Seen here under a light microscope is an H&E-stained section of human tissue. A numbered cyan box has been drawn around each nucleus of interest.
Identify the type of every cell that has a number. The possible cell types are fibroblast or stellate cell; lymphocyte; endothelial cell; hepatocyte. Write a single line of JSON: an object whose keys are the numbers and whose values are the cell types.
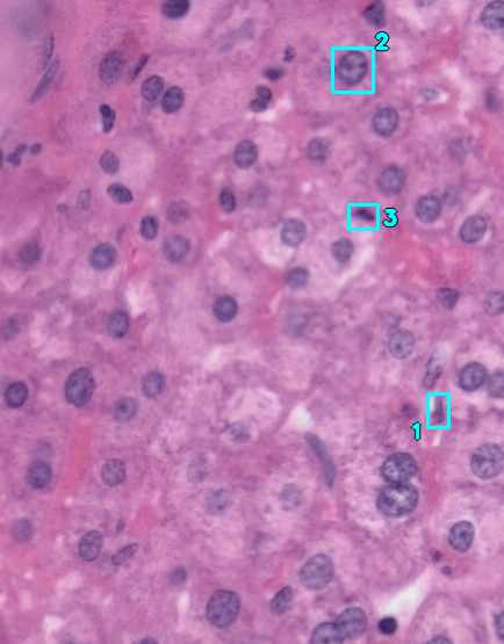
{"1": "endothelial cell", "2": "hepatocyte", "3": "fibroblast or stellate cell"}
